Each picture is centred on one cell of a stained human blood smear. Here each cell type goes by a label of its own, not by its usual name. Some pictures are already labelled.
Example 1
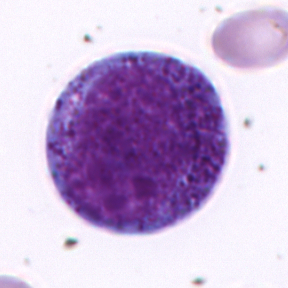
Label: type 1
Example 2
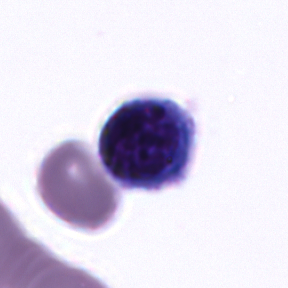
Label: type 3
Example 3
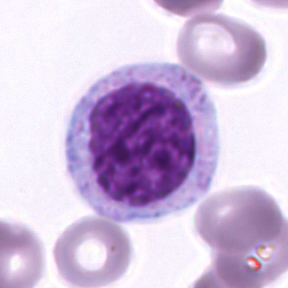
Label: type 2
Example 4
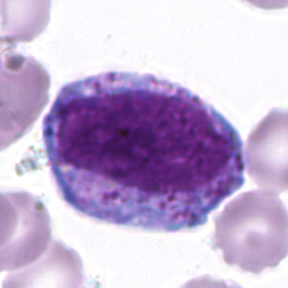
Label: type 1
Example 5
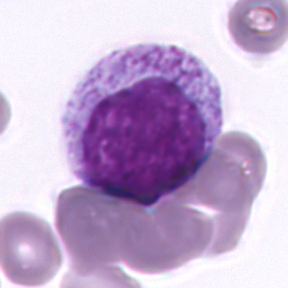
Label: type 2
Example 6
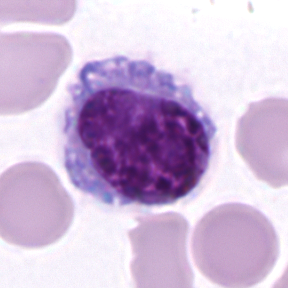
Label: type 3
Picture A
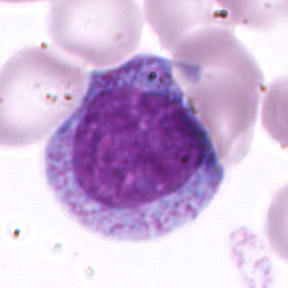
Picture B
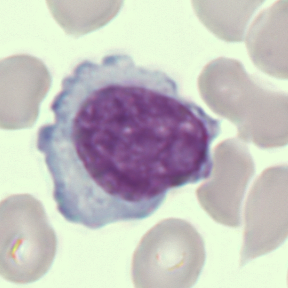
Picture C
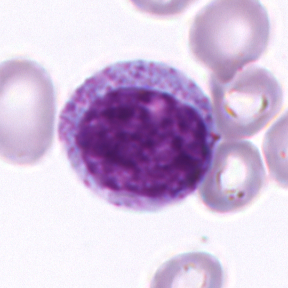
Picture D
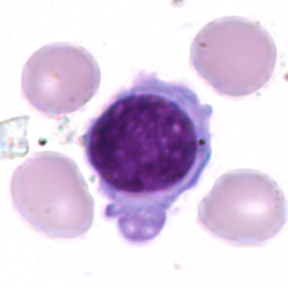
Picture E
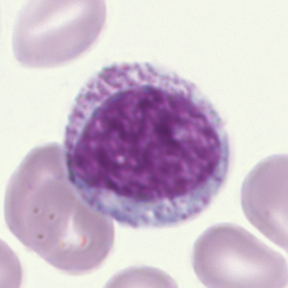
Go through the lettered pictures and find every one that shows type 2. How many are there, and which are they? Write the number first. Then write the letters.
2, namely C, E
